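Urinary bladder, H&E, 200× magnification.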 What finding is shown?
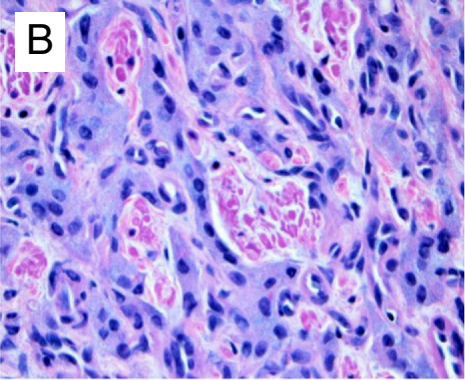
Paraganglioma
